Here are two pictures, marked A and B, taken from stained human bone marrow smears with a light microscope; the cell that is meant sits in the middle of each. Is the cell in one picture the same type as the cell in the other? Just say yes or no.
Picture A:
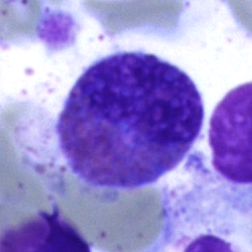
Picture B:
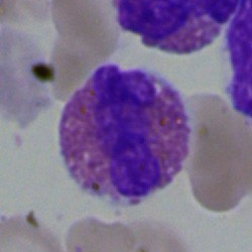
yes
